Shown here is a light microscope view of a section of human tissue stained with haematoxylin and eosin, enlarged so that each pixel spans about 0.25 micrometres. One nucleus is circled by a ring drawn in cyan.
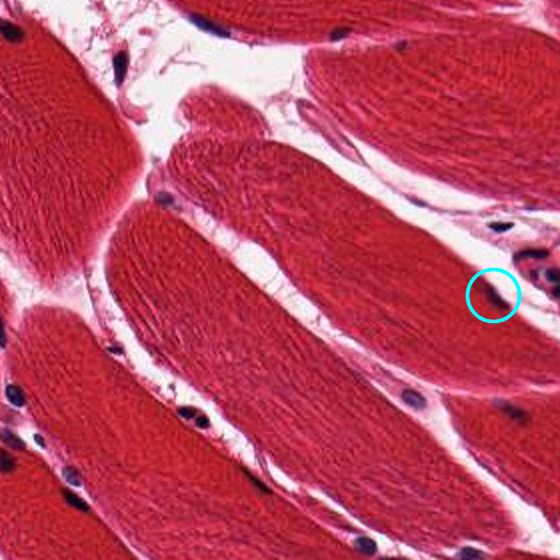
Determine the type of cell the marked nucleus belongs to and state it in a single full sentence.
Within a skeletal muscle fibre lies the marked nucleus.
